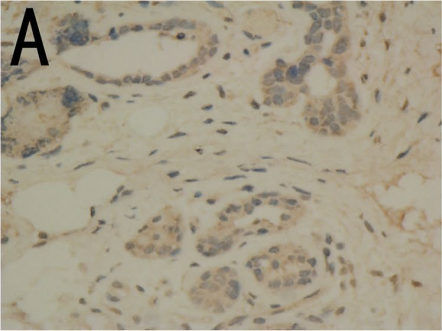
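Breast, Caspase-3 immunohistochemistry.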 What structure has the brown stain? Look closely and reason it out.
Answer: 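Ducts and alveoli. Rounded clusters of epithelial cells and a duct with a lumen lie in fibrous stroma. The cytoplasm of these epithelial cells is light brown.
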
